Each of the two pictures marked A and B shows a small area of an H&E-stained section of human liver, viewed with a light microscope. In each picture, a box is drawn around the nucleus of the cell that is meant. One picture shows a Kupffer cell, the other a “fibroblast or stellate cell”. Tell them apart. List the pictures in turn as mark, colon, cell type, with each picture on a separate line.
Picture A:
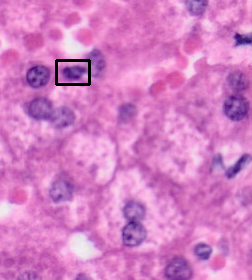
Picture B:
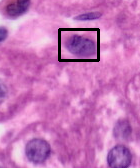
A: fibroblast or stellate cell
B: Kupffer cell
